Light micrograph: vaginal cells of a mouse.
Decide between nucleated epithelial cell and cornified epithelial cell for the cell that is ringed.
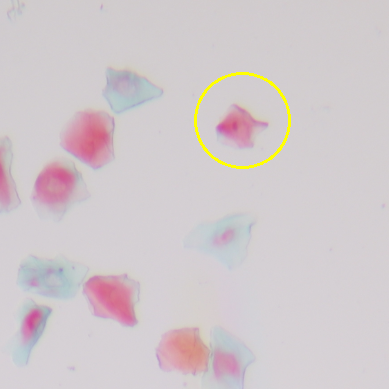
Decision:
I take the ringed cell for a cornified epithelial cell.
